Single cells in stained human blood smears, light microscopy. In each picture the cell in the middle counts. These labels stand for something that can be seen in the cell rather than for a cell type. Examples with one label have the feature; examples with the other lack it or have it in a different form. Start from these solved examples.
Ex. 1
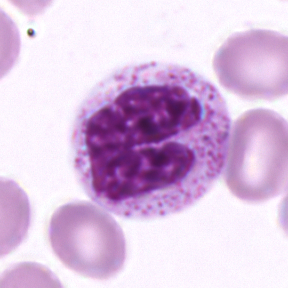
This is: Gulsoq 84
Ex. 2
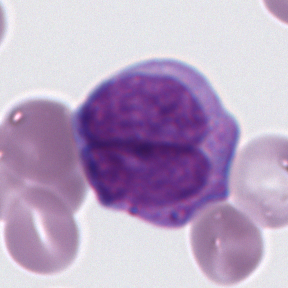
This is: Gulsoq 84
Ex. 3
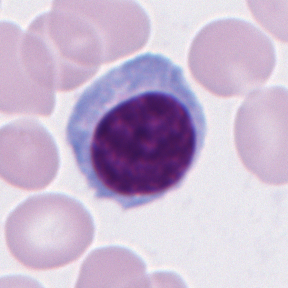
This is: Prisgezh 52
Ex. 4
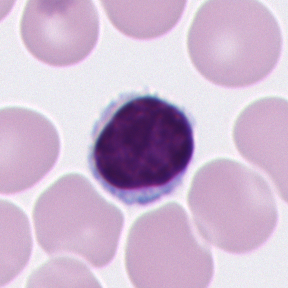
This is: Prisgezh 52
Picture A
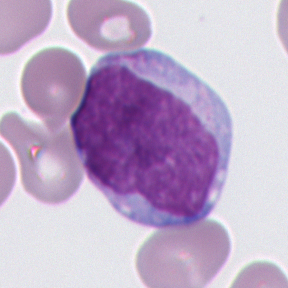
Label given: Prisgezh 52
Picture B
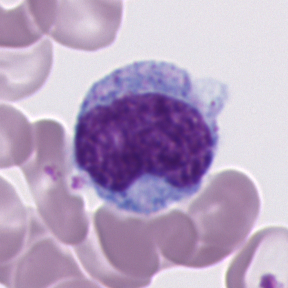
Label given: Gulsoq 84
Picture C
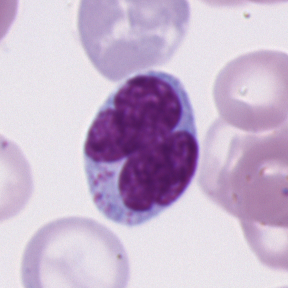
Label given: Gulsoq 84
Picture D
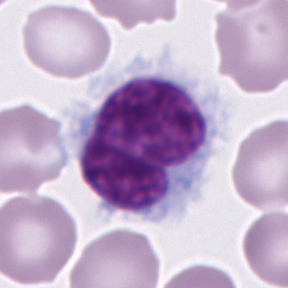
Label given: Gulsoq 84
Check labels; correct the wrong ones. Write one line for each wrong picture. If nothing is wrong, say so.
B: not Gulsoq 84 but Prisgezh 52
